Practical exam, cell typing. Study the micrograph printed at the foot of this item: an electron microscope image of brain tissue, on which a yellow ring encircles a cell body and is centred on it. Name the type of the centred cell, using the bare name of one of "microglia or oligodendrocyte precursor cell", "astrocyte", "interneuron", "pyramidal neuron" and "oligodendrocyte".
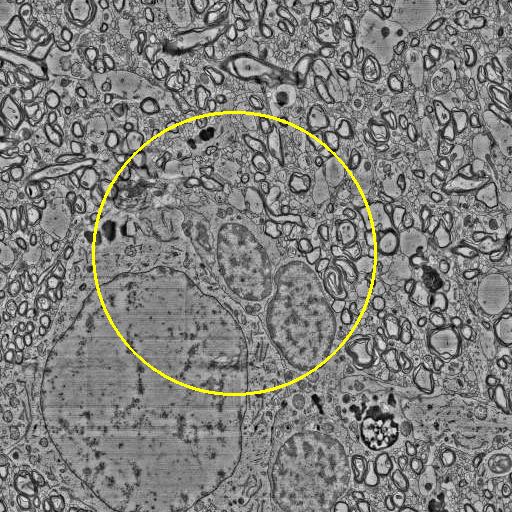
oligodendrocyte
